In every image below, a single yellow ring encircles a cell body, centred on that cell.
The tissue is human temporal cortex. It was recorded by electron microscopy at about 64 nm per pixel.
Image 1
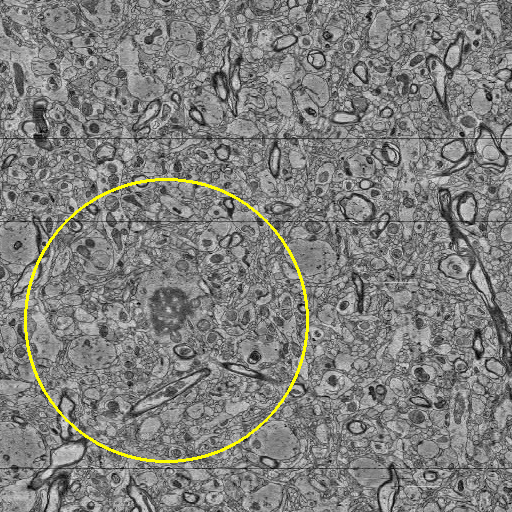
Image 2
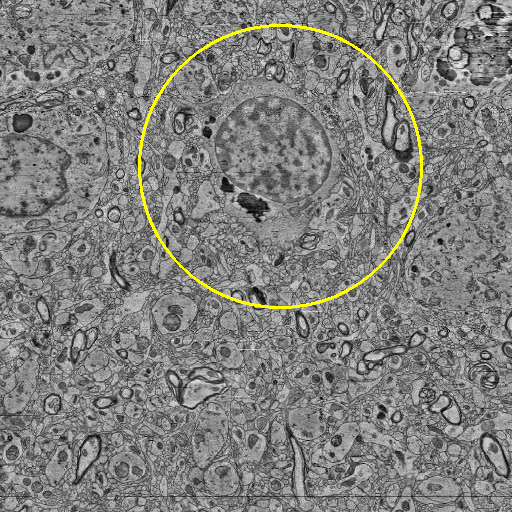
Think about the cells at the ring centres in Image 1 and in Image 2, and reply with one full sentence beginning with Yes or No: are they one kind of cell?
Yes, the cells centred in the rings of Image 1 and Image 2 are one kind of cell.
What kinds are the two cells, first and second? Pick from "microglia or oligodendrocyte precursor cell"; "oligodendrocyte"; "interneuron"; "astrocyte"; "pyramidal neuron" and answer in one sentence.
The cell in the first picture is an oligodendrocyte, and so is the one in the second.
